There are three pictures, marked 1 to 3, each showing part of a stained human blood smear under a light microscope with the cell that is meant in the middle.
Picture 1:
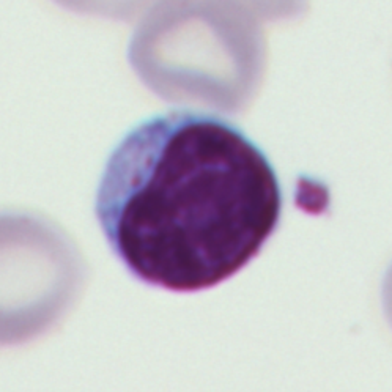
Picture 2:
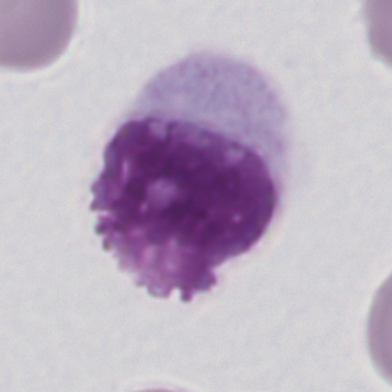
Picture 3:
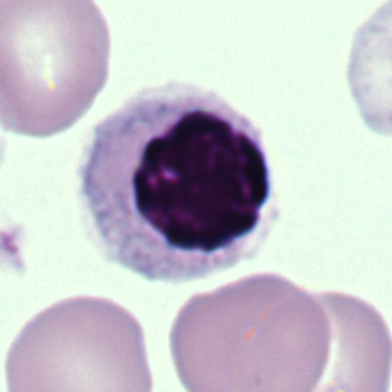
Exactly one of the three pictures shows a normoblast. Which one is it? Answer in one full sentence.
The normoblast is the one in picture 3.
